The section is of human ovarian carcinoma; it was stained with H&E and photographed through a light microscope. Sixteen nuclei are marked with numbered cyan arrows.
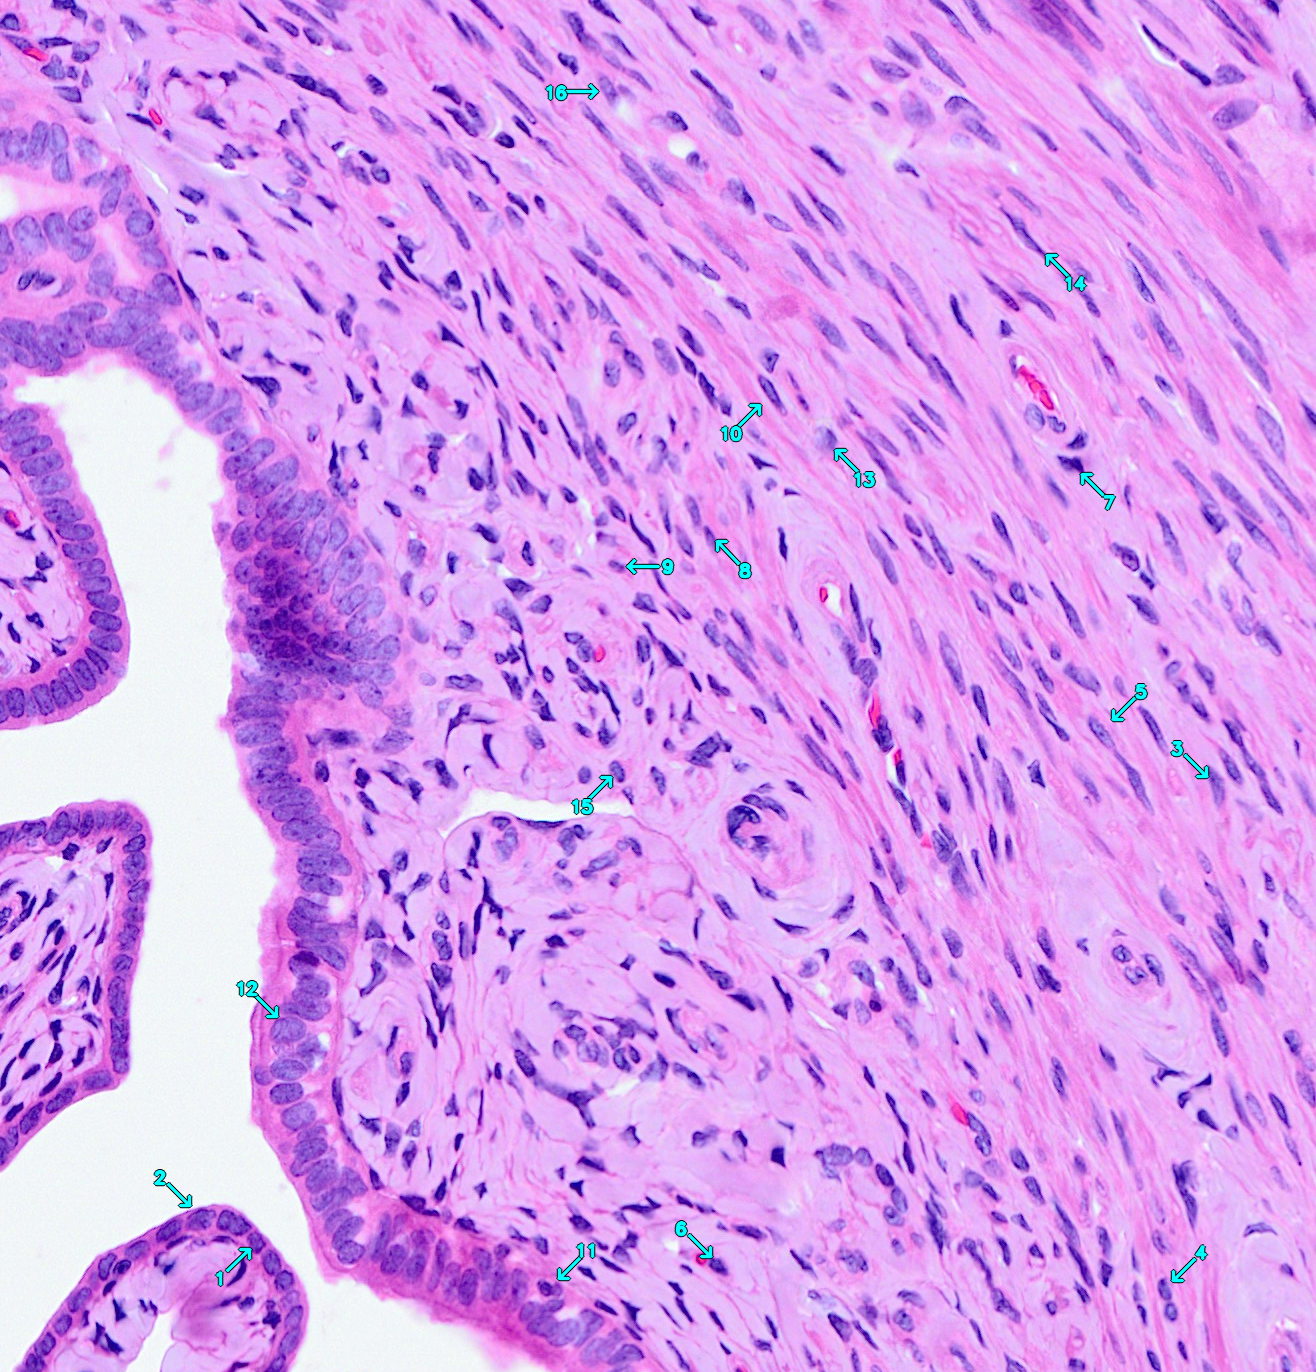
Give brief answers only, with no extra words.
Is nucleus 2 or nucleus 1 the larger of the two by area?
2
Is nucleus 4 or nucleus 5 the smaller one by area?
4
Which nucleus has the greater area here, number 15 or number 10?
10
